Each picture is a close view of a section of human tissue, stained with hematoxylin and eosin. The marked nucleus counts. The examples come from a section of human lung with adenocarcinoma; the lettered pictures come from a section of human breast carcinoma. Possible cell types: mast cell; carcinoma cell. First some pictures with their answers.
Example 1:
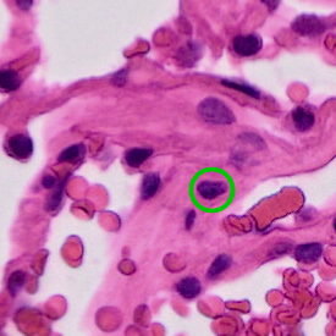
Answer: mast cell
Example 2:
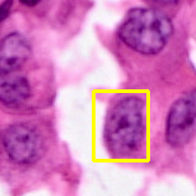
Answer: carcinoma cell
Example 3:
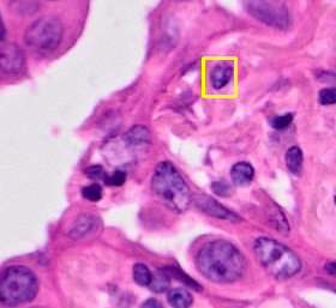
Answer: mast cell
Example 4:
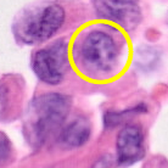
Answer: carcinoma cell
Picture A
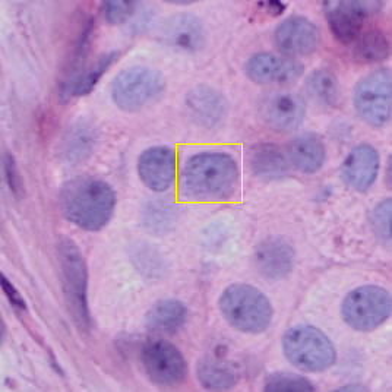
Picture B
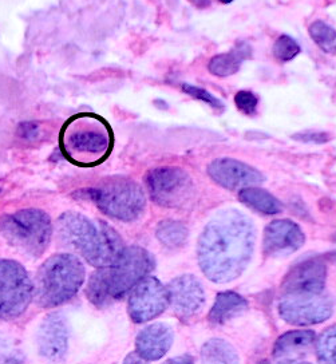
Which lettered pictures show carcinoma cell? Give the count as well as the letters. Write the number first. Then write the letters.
1, namely A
